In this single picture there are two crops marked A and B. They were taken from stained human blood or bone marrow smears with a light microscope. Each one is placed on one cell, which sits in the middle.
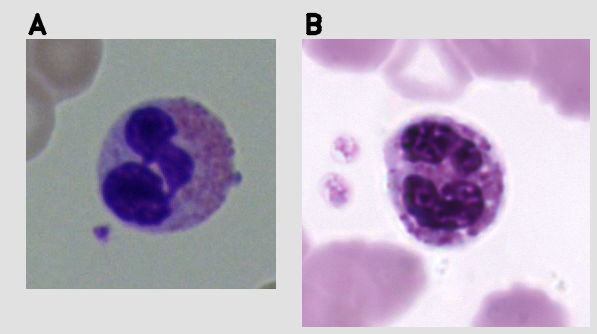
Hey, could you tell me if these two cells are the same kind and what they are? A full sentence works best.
Yes, in both of the crops, the central cells are eosinophils.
